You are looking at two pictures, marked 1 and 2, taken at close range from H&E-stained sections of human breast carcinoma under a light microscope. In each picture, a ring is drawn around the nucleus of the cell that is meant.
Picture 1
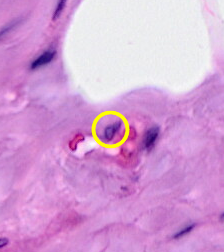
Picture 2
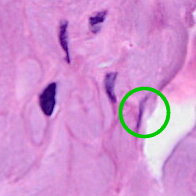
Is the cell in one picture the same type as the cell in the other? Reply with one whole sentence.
No, picture 1 shows an endothelial cell and picture 2 shows a fibroblast.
